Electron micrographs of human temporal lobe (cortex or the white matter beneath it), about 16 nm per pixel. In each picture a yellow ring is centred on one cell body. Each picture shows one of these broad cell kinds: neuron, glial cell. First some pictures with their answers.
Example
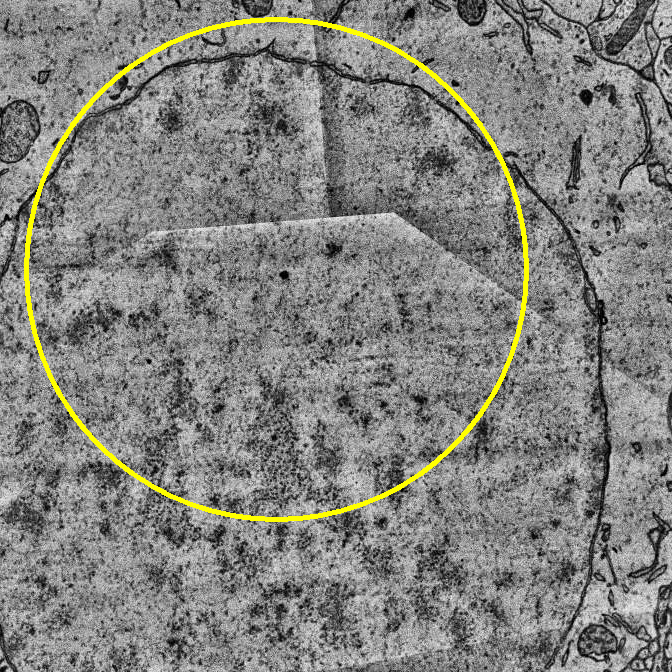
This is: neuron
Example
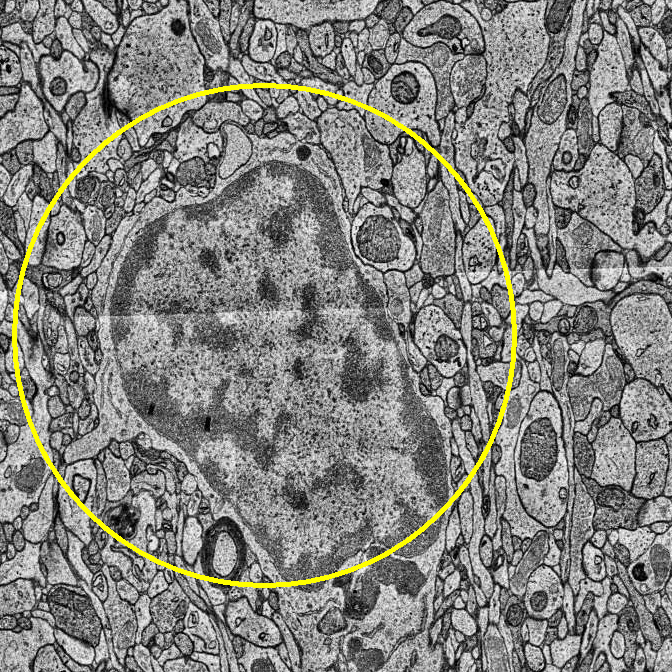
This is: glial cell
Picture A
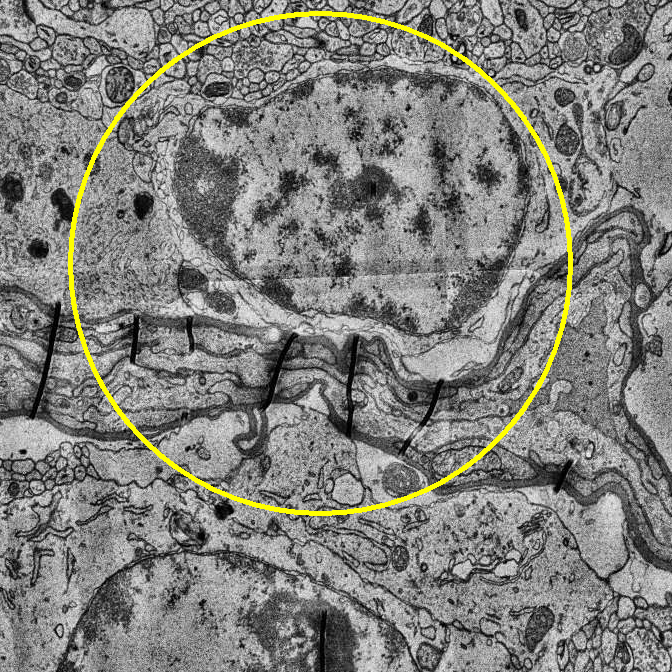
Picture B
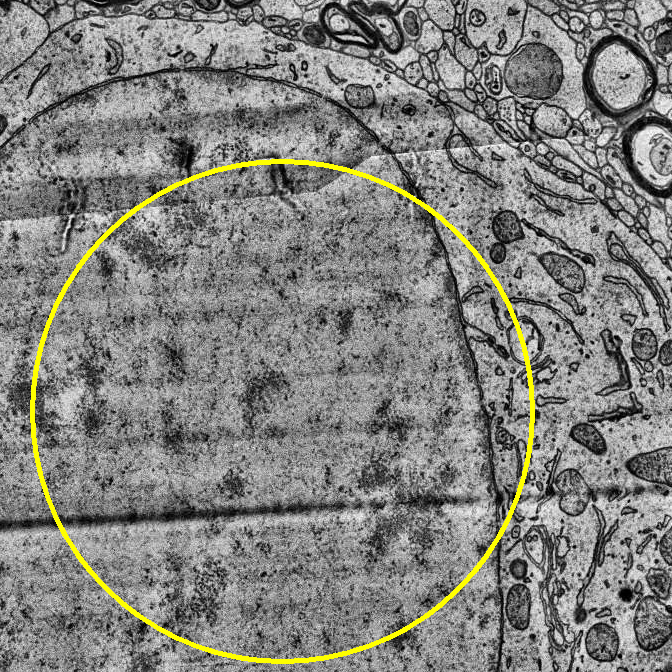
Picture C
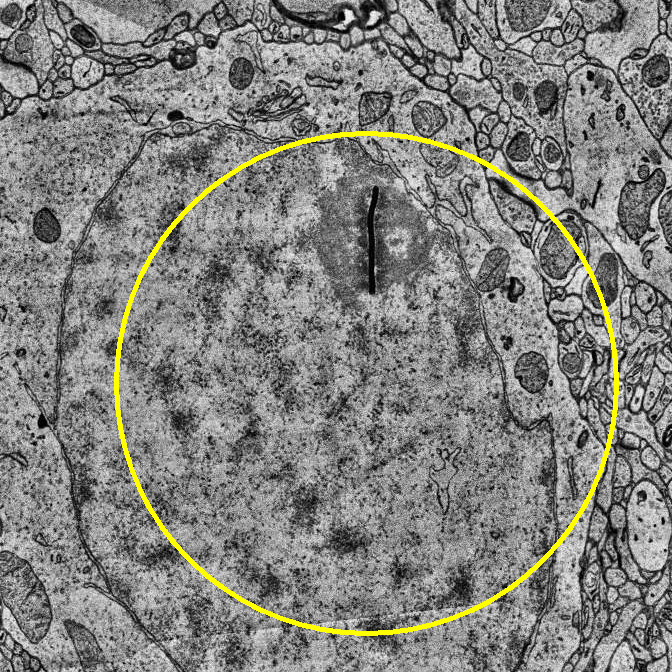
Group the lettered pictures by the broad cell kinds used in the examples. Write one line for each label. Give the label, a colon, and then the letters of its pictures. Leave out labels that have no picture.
neuron: B, C
glial cell: A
